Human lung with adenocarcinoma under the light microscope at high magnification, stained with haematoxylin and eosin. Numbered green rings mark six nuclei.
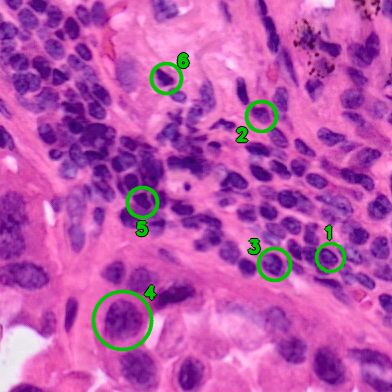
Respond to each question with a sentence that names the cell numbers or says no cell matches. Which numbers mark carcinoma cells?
In short, cell 4 is a carcinoma cell; the others are not.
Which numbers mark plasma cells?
No marked cell except number 2 is a plasma cell.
